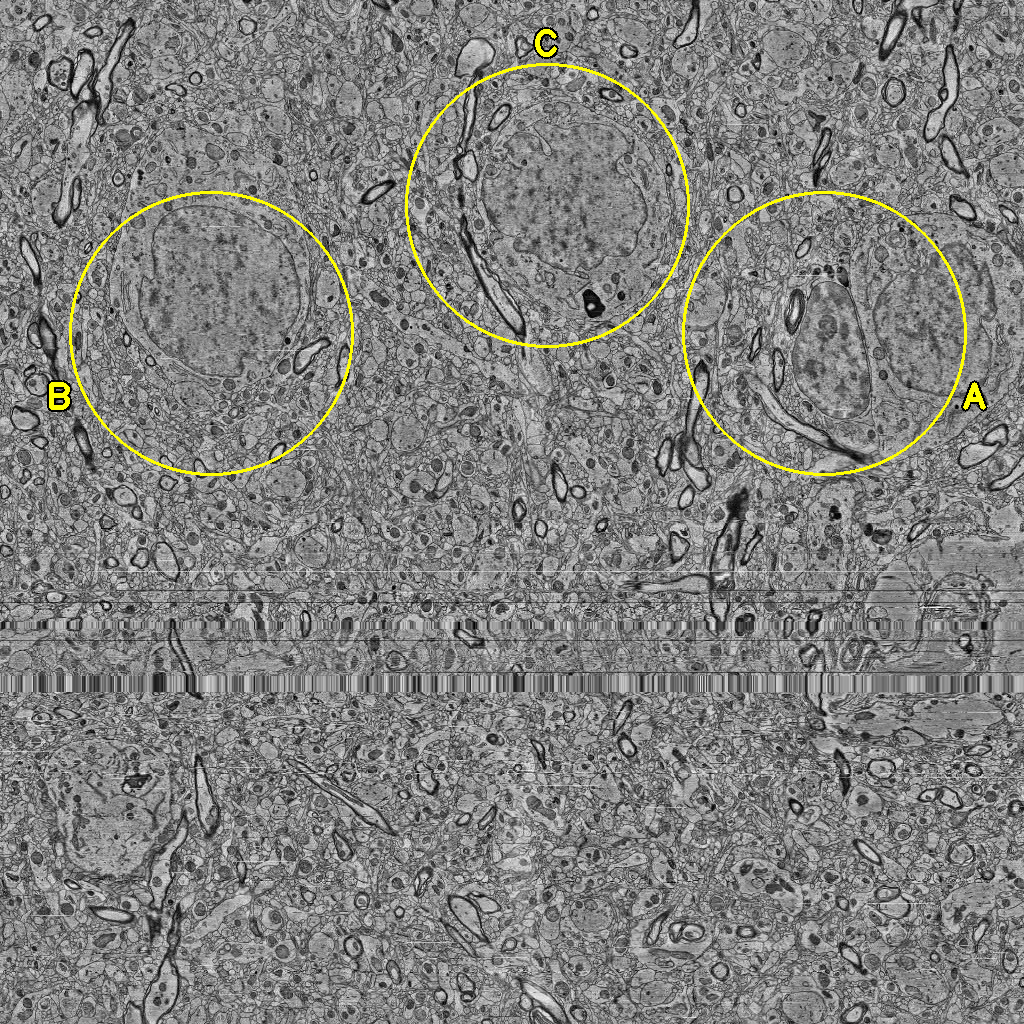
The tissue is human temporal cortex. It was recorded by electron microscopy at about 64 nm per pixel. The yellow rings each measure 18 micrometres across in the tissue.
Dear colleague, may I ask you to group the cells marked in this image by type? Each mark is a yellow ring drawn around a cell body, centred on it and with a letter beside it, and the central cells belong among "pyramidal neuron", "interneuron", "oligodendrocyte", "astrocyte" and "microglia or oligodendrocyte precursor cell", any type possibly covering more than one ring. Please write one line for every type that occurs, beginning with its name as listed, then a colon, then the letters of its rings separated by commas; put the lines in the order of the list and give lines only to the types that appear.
interneuron: B, C
microglia or oligodendrocyte precursor cell: A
